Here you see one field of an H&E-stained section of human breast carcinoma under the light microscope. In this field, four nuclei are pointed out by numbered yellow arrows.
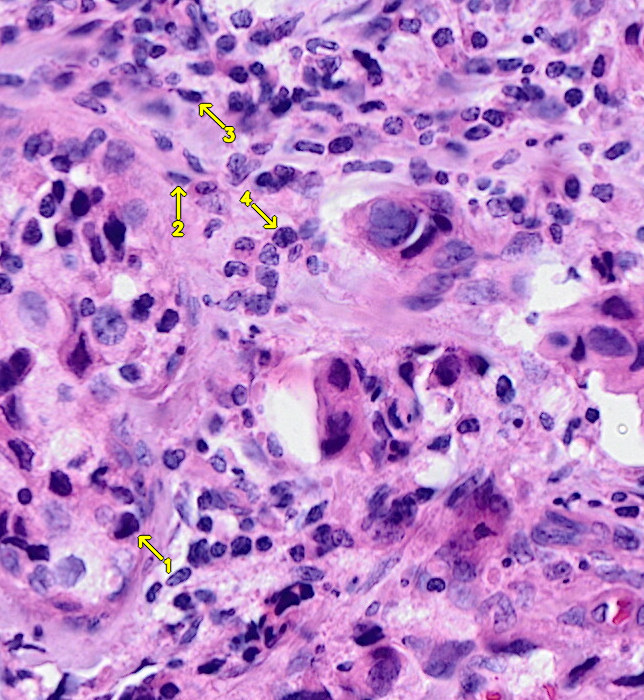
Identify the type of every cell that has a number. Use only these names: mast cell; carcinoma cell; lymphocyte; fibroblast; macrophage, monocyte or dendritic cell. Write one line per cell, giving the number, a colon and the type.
1: carcinoma cell
2: lymphocyte
3: lymphocyte
4: lymphocyte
